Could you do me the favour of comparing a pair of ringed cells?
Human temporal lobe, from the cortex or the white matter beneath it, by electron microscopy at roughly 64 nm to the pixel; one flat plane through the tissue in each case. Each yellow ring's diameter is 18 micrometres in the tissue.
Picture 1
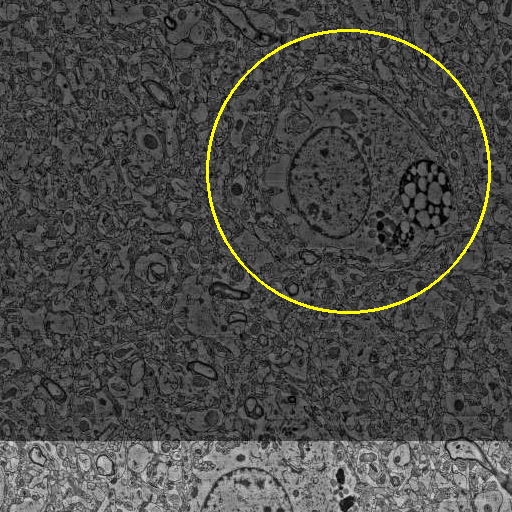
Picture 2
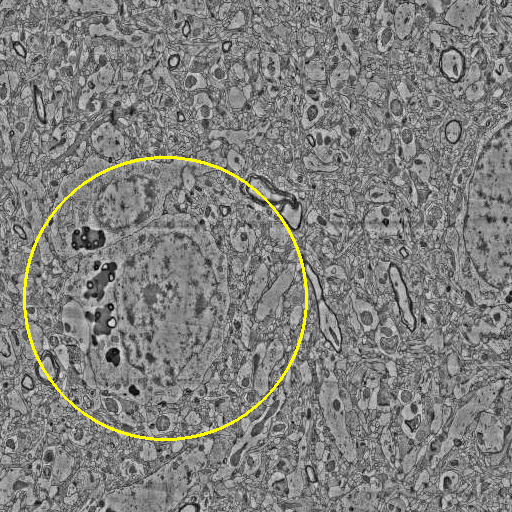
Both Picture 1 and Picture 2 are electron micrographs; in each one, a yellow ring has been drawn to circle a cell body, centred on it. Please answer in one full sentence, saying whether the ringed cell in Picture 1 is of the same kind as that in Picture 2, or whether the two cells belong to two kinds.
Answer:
The ringed cells in Picture 1 and Picture 2 belong to two kinds.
